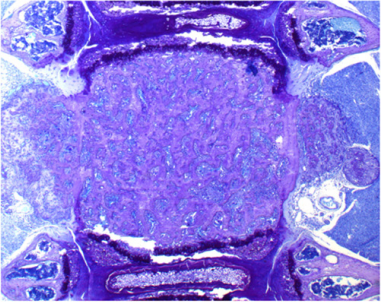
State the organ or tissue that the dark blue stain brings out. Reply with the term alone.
Cartilage.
